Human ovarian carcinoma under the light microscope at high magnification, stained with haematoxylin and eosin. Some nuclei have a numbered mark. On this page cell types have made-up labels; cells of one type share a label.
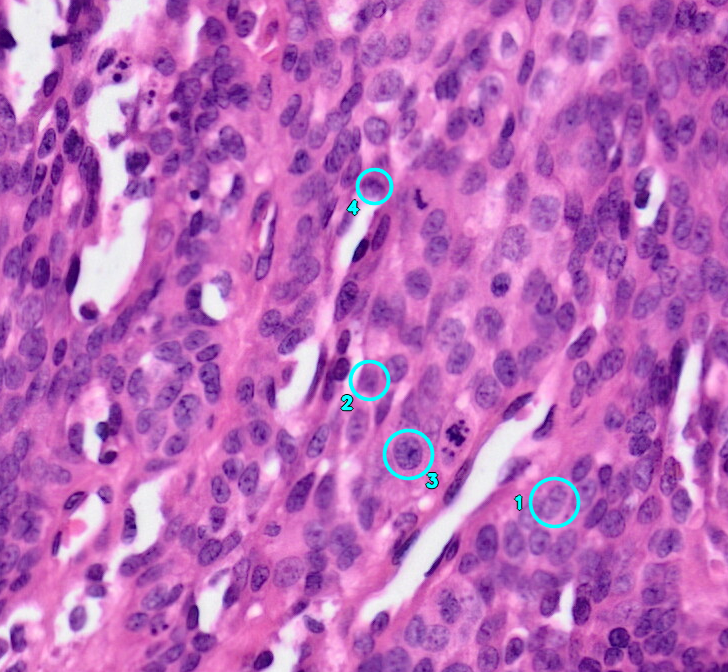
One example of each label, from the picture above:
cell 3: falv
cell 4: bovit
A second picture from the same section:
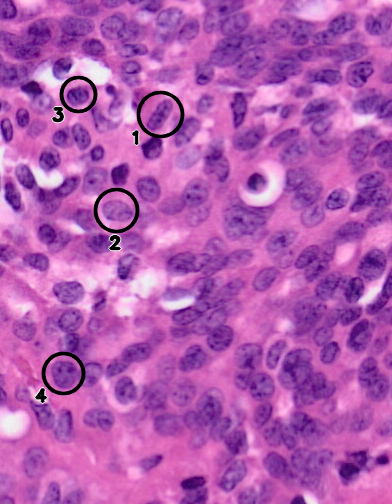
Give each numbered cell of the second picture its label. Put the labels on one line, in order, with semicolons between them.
falv; falv; falv; bovit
